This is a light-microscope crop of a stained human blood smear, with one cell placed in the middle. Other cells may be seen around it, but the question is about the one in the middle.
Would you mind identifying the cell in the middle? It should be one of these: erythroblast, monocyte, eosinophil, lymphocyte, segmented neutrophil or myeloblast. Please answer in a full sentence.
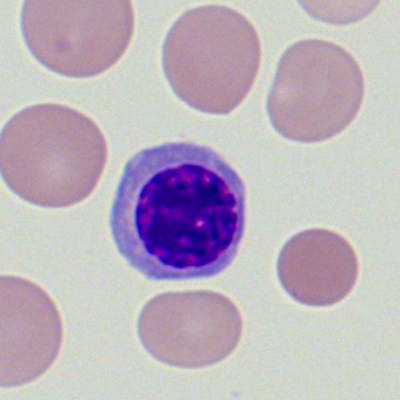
What sits at the centre of this crop is an erythroblast.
